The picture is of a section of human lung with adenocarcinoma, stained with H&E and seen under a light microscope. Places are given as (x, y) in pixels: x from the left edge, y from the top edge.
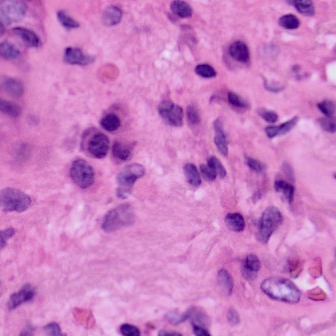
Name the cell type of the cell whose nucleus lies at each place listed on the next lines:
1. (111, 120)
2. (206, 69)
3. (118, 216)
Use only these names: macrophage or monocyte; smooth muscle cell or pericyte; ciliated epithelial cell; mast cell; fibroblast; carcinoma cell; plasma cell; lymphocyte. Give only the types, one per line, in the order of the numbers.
plasma cell
mast cell
fibroblast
